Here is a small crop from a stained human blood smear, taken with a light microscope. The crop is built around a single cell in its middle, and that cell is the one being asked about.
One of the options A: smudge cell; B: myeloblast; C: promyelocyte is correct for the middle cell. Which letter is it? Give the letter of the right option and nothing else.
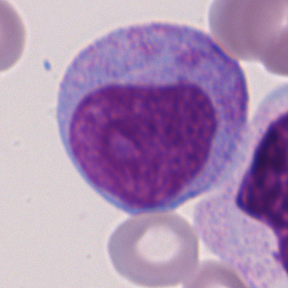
C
